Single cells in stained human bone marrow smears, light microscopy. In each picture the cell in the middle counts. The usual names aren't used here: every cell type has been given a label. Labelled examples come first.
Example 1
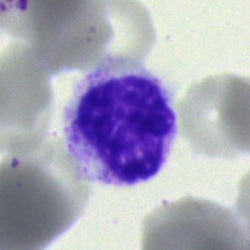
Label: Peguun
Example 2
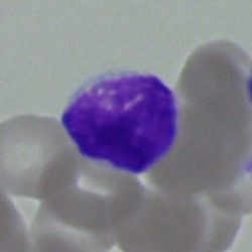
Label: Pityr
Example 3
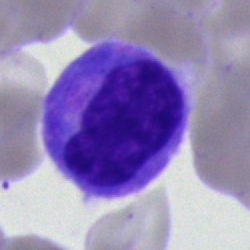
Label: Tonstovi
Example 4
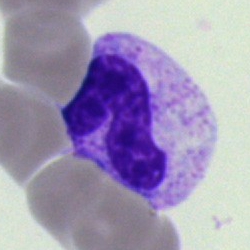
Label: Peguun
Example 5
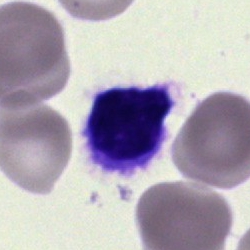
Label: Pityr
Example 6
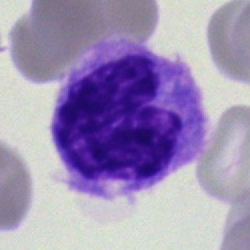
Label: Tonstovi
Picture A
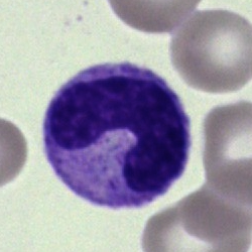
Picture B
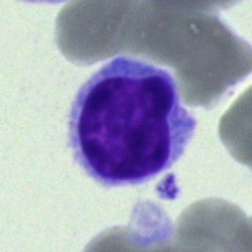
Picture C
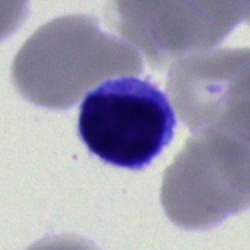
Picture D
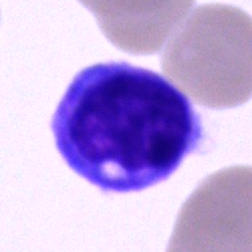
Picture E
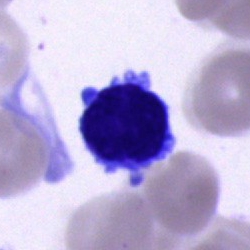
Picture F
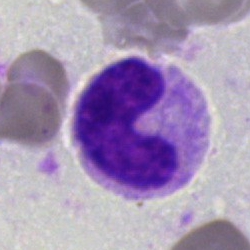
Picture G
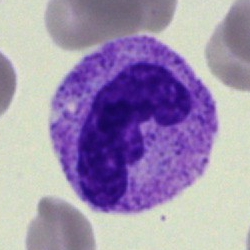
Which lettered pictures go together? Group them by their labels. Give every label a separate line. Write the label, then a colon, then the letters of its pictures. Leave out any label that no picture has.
Peguun: A, F, G
Pityr: B, C, E
Tonstovi: D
